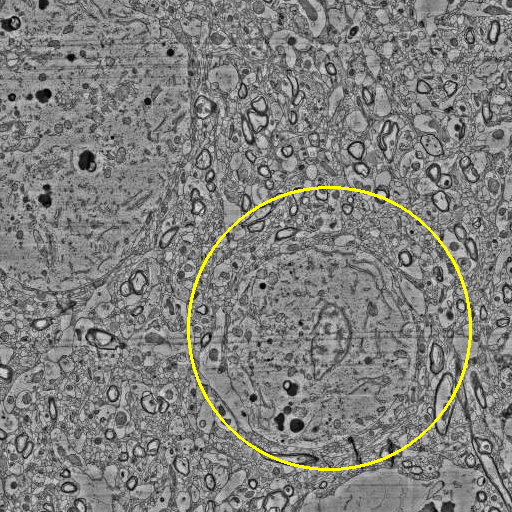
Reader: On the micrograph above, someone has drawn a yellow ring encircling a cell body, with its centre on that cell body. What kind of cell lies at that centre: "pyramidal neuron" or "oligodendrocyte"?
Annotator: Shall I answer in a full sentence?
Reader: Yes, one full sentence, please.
Here a pyramidal neuron sits at the centre of the yellow ring drawn on the micrograph.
